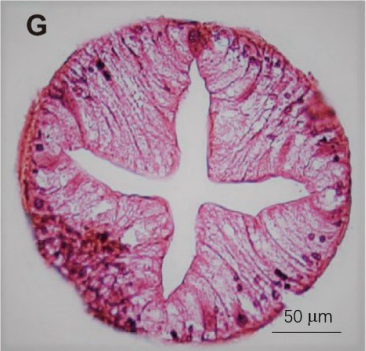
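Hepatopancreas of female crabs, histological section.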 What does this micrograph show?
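A round cross-section of a hepatic tubule is lined by one layer of tall columnar epithelial cells whose apices bound a narrow, four-armed star-shaped lumen. The cells are long and closely packed, with pale pink, finely vacuolated cytoplasm and dark purple nuclei, many lying toward the outer, basal side. The outer border of the tubule is a thin darker-staining rim.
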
